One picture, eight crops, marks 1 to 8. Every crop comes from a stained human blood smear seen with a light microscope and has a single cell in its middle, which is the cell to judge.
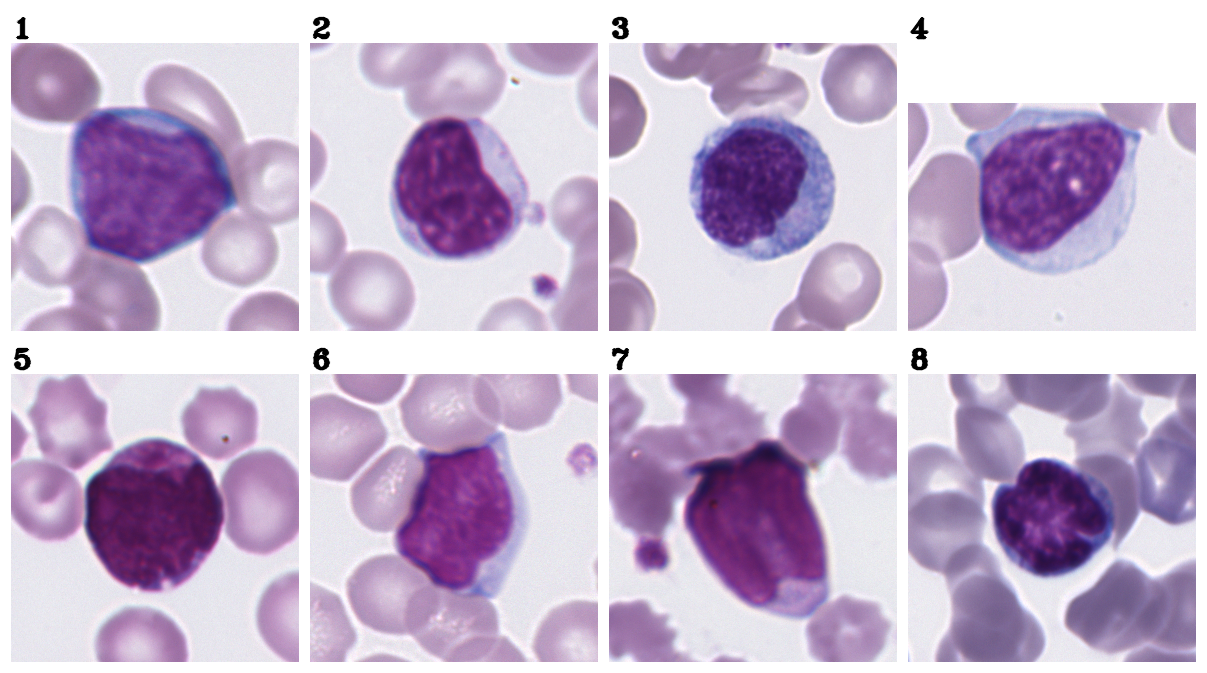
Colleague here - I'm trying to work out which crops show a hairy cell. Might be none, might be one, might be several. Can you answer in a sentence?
Not a single crop among those given shows a hairy cell.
